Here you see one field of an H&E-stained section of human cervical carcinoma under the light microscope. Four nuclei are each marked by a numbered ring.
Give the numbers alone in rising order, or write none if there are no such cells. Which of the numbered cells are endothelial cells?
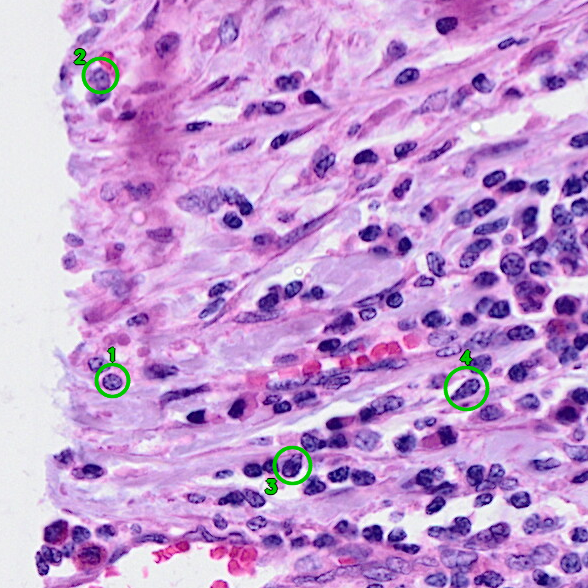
2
